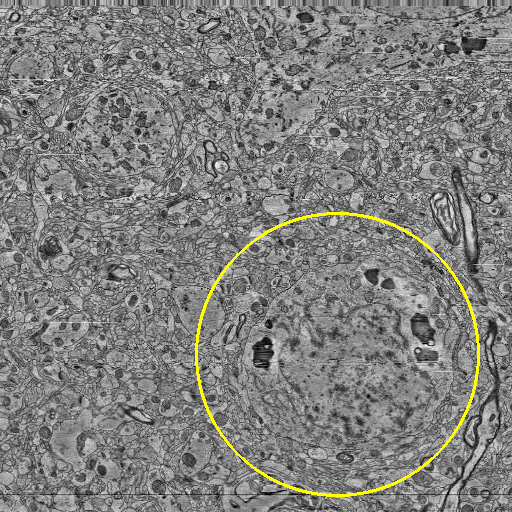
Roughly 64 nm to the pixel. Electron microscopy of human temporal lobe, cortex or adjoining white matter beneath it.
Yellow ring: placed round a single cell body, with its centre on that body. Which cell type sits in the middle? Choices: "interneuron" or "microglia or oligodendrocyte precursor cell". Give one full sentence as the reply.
It is an interneuron whose cell body sits at the centre of the yellow ring.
